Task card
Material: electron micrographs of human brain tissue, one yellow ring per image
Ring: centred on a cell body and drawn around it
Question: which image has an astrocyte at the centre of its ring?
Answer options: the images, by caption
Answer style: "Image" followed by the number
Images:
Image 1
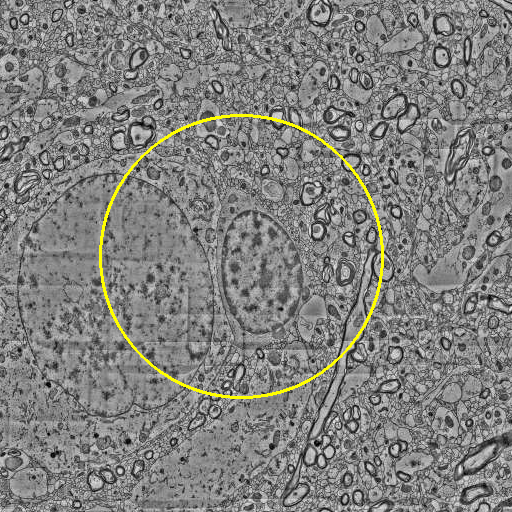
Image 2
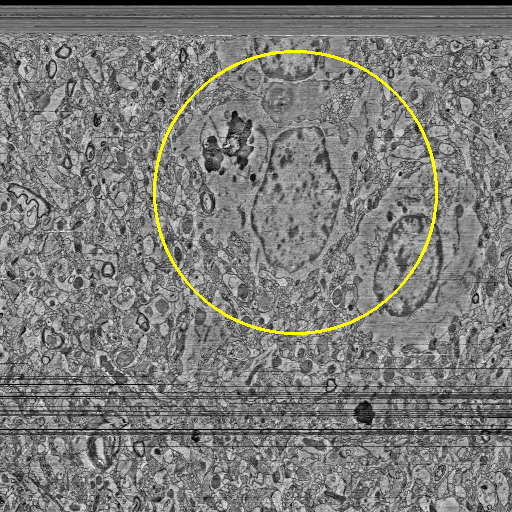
Image 2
